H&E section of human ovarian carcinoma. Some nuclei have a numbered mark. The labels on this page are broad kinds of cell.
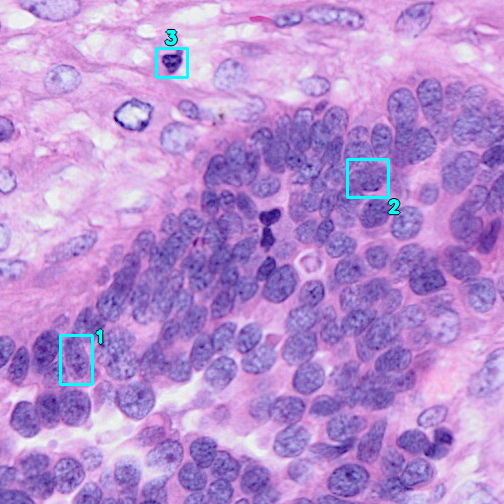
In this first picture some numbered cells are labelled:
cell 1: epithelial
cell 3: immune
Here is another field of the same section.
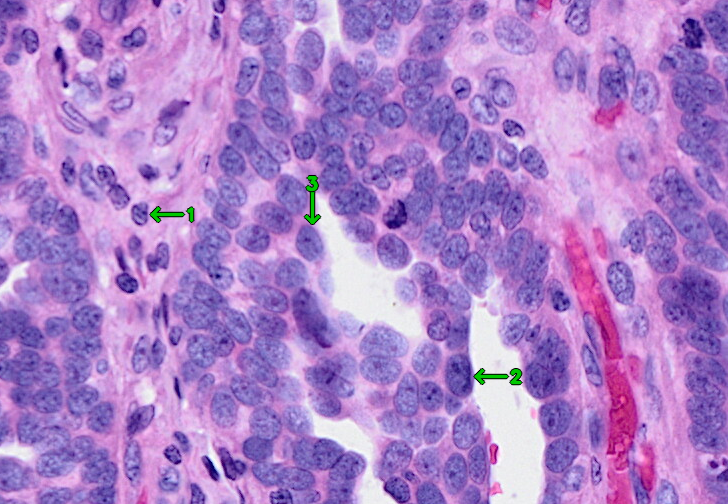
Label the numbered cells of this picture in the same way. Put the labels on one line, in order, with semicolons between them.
immune; epithelial; epithelial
